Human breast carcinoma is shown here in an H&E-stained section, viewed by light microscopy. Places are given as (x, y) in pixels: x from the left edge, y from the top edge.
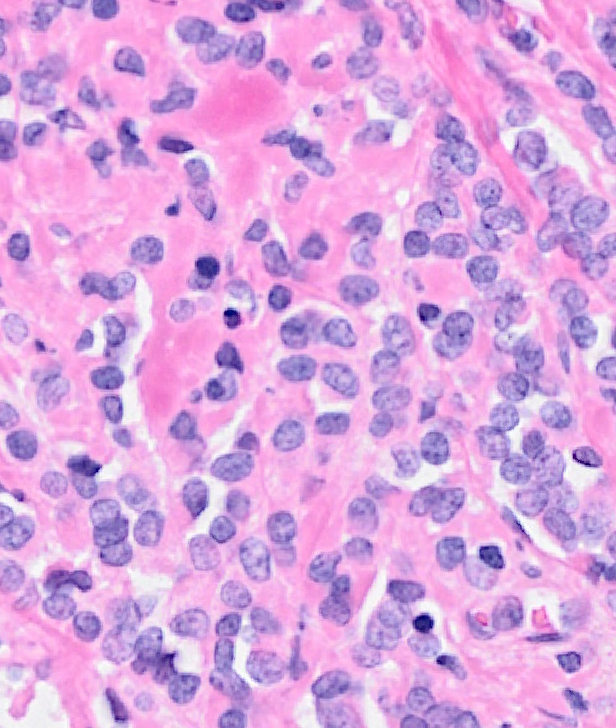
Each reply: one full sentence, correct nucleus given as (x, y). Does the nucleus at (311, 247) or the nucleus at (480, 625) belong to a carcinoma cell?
Of the two nuclei, it is the one at (311, 247) that lies within a carcinoma cell.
